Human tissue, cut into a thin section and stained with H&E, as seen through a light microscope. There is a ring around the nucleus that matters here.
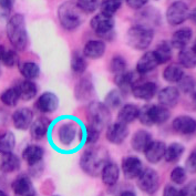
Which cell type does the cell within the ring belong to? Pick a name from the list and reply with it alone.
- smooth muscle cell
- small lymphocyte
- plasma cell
small lymphocyte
